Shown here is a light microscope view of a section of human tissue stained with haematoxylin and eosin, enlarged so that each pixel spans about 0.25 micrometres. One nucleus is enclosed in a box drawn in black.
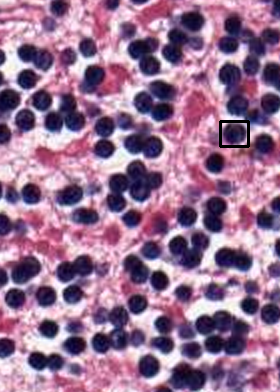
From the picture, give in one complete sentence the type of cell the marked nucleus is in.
The marked nucleus, in this picture, belongs to a cerebellar granule cell.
